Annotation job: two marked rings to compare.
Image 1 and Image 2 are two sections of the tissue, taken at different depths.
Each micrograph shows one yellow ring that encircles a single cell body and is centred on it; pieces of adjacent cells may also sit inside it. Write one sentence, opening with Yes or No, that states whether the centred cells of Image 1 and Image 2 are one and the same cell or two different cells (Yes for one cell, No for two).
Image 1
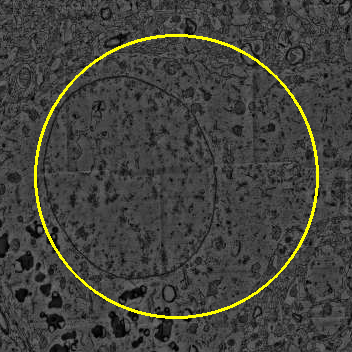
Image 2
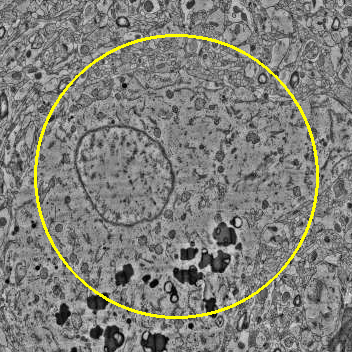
Yes, a single cell is the subject of both yellow rings.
